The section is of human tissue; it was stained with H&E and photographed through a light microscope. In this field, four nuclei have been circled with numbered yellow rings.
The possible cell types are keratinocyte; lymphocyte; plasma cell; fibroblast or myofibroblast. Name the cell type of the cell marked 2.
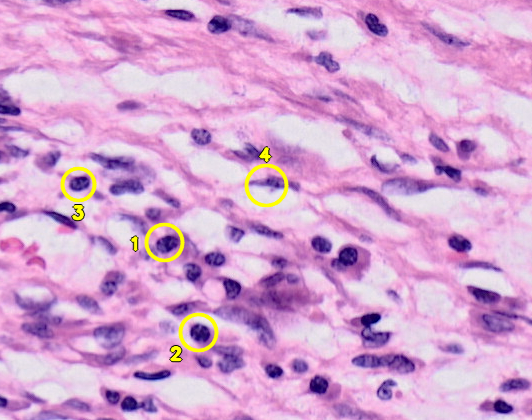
plasma cell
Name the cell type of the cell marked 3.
lymphocyte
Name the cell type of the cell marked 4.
fibroblast or myofibroblast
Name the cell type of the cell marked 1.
plasma cell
